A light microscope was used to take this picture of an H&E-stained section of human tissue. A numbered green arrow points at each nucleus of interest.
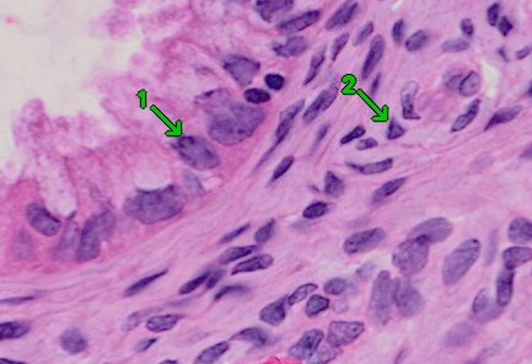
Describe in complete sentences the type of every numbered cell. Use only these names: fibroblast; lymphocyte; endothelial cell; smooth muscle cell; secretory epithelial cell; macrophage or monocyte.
Cell 1 is a secretory epithelial cell. Cell 2 is a fibroblast.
